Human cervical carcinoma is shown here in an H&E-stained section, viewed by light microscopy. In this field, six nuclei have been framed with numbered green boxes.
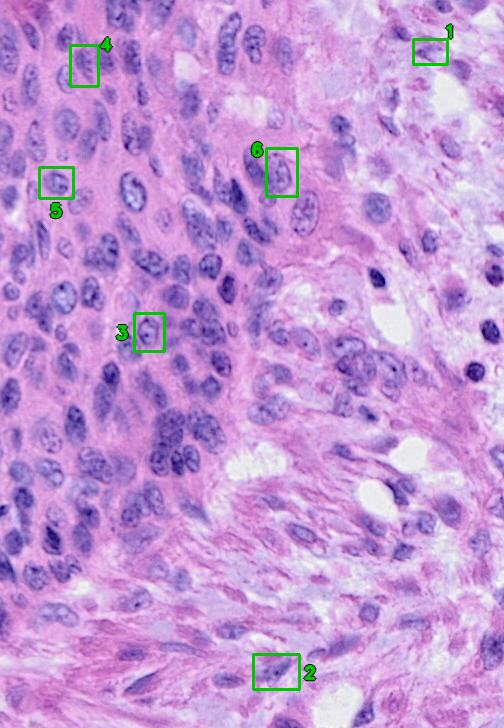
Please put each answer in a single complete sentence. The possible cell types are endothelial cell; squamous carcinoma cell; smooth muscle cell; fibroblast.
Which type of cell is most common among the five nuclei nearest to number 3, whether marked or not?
Around number 3, most of the five nearest nuclei are those of squamous carcinoma cells.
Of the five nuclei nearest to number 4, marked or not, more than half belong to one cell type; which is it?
The majority of the five nuclei closest to number 4 belong to squamous carcinoma cells.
